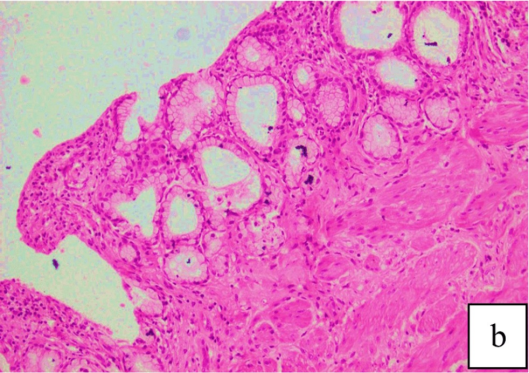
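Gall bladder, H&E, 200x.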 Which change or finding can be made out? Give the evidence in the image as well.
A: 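The mucosa contains round glands lined by pale, mucin-filled cells. Smooth muscle and fibrous tissue lie beneath the glands.
Chronic cholecystitis with metaplasia.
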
